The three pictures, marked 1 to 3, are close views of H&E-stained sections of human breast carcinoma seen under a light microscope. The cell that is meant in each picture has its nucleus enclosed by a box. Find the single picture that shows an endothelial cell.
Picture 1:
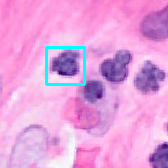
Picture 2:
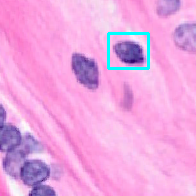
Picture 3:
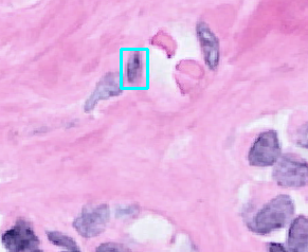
3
